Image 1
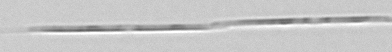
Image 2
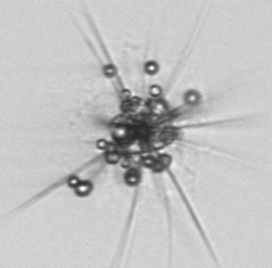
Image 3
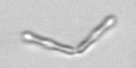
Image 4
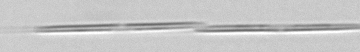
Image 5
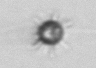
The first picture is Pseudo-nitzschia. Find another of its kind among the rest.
Picture 4.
